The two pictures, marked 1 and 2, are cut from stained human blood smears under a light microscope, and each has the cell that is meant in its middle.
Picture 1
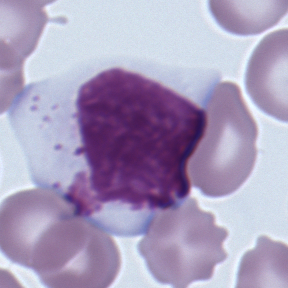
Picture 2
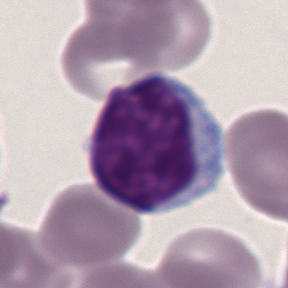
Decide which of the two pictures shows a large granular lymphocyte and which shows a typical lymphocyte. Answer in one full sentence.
Picture 1 shows a large granular lymphocyte and picture 2 shows a typical lymphocyte.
